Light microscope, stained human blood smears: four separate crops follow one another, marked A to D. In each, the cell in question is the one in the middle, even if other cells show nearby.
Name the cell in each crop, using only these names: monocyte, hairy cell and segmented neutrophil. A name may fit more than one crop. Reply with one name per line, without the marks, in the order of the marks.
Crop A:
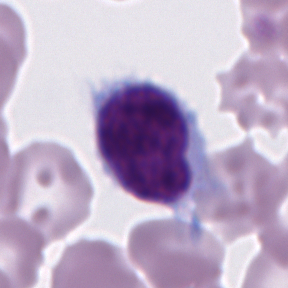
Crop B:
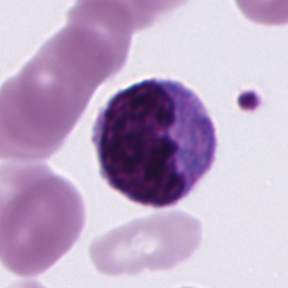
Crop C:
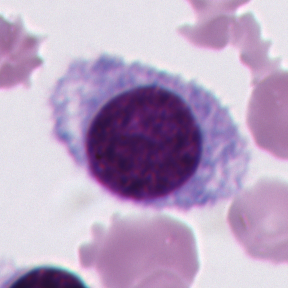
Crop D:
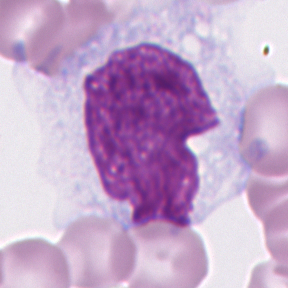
hairy cell
monocyte
hairy cell
monocyte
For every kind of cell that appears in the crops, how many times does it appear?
hairy cell: 2
monocyte: 2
